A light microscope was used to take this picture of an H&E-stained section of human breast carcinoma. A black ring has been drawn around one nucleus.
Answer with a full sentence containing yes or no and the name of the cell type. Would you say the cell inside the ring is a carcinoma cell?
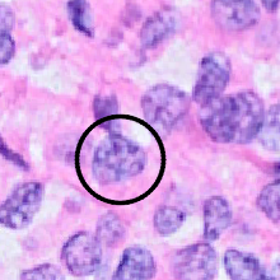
Yes, the cell inside the ring counts as a carcinoma cell in this tissue.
